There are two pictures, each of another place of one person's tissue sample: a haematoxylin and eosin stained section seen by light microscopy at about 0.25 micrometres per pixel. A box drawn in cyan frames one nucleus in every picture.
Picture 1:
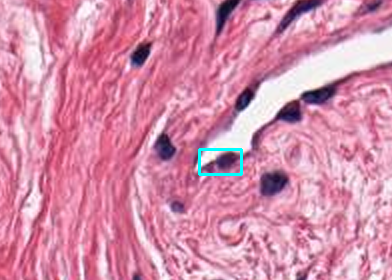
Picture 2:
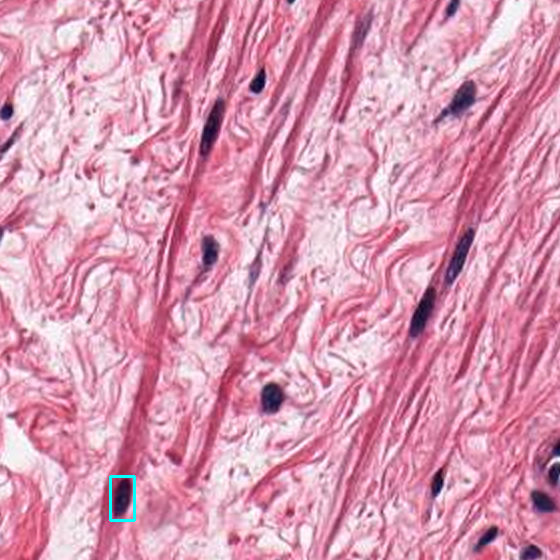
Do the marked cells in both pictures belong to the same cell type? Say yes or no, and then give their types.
No, the first is an endothelial cell and the second a smooth muscle cell.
